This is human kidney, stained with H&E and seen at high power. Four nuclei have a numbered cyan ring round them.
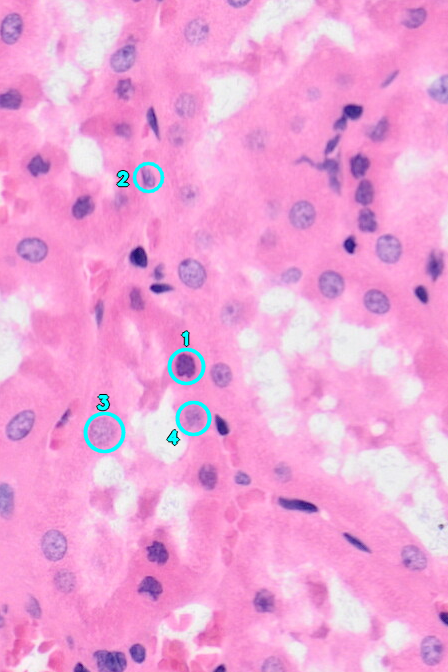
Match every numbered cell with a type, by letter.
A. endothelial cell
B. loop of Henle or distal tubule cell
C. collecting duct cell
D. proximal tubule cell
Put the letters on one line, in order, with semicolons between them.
D; A; D; D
